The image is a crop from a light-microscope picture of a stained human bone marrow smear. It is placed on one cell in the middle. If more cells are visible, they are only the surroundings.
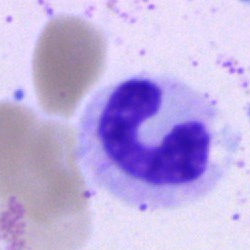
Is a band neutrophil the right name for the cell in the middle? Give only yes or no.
yes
